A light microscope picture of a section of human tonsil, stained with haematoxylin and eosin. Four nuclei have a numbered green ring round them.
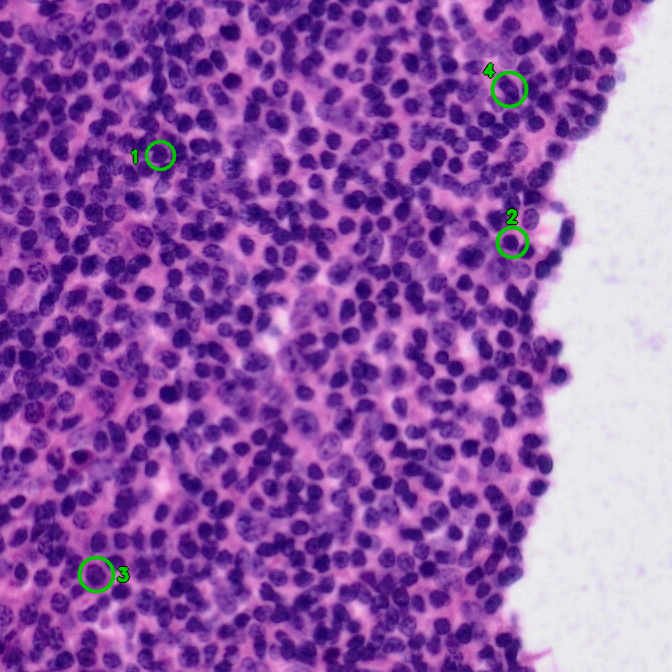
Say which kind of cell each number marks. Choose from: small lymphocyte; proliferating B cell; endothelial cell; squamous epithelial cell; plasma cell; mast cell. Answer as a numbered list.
1. small lymphocyte
2. small lymphocyte
3. plasma cell
4. small lymphocyte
